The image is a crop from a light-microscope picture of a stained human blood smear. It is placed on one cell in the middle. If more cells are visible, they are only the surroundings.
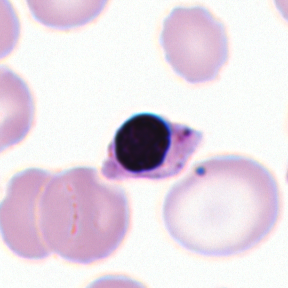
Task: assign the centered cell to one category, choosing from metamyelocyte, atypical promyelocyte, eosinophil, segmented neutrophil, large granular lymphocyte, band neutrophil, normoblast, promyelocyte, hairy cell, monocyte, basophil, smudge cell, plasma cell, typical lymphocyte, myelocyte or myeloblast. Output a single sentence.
The center cell of this crop is a normoblast.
